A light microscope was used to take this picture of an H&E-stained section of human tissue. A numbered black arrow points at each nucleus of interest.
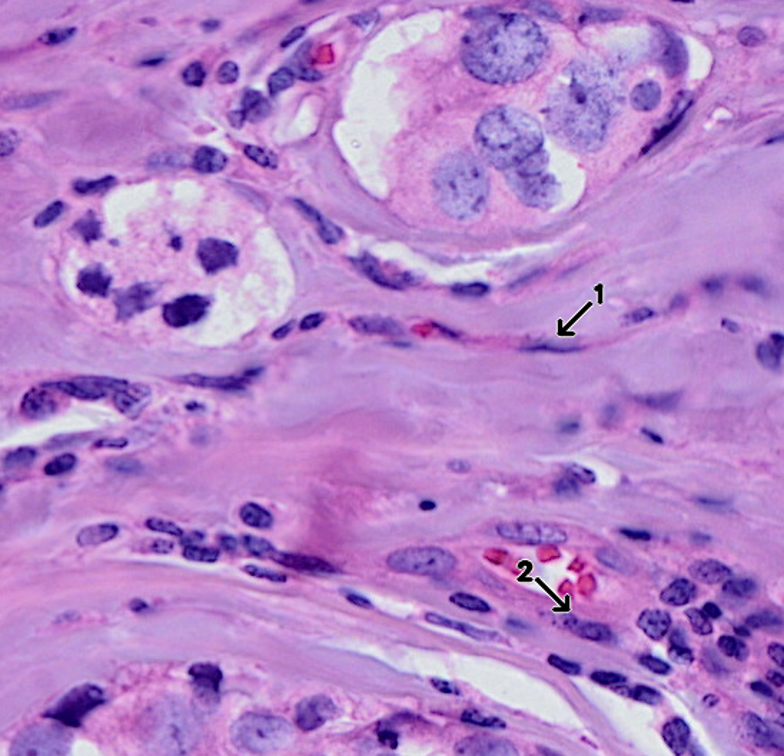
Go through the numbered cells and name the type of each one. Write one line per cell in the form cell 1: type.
cell 1: fibroblast
cell 2: endothelial cell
